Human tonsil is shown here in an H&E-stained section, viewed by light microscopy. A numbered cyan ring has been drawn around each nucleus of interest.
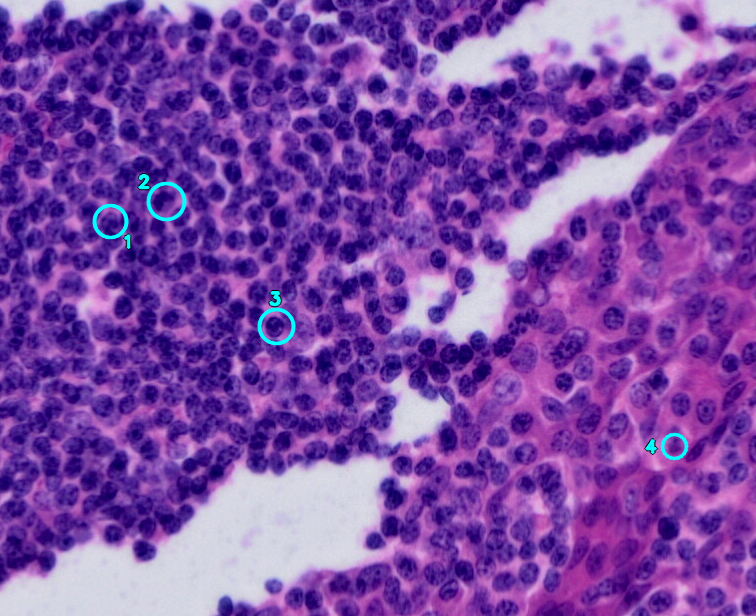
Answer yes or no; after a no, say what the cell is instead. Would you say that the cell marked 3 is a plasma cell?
No, it is a small lymphocyte.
